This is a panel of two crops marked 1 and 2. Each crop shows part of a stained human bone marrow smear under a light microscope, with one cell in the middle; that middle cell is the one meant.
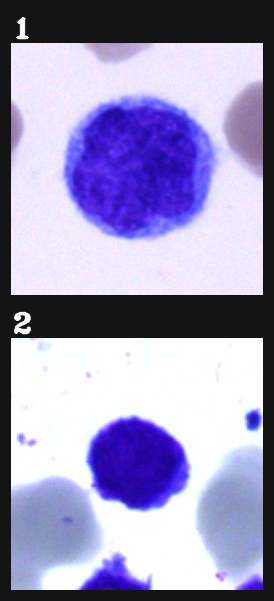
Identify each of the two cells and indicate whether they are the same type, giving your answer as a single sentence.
No, crop 1 should be called a blast, and crop 2 should be called a lymphocyte.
